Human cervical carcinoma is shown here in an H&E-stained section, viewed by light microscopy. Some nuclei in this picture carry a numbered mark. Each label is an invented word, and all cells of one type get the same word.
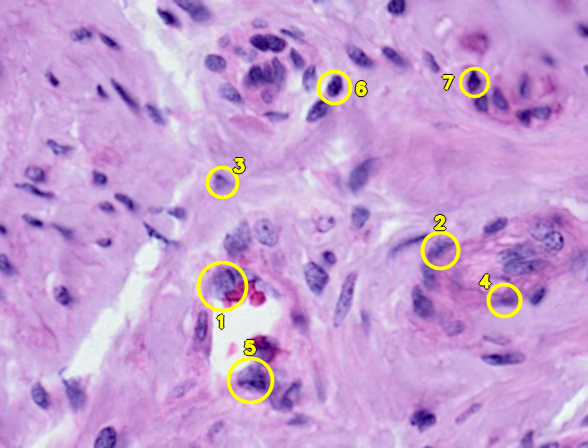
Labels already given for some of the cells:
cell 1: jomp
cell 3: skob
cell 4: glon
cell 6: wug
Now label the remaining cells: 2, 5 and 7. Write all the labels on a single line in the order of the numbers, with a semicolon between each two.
glon; jomp; glon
